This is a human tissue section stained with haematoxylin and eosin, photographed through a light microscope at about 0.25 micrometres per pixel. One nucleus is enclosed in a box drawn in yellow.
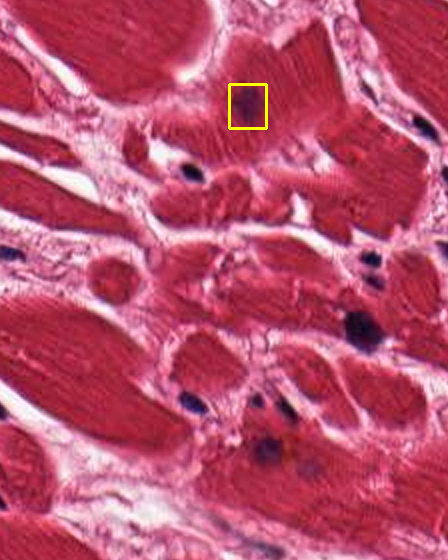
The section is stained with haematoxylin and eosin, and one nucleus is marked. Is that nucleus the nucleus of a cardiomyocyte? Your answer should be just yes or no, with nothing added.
yes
